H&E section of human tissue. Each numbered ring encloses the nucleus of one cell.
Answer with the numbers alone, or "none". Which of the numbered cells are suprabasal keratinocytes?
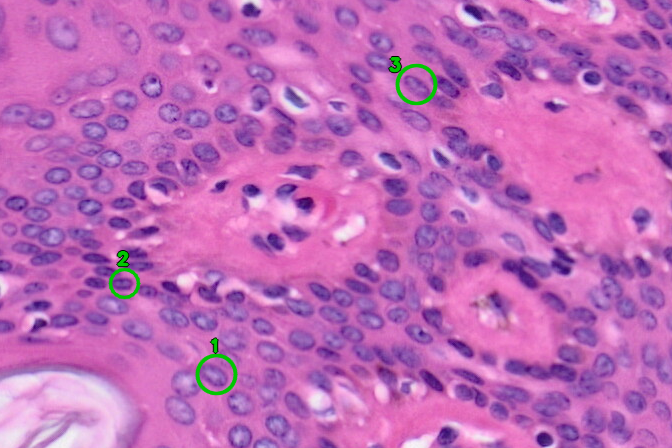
1, 3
